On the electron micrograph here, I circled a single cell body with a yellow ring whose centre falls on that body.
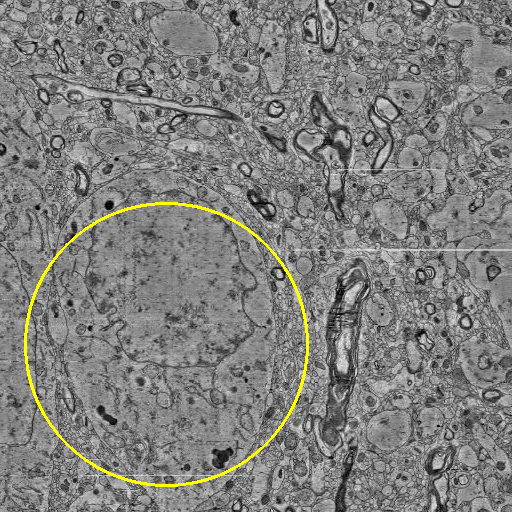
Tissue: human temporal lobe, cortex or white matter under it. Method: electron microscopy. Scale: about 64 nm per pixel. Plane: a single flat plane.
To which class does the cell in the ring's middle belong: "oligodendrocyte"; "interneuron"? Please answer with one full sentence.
In this picture, the cell body circled at the ring's centre belongs to an interneuron.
